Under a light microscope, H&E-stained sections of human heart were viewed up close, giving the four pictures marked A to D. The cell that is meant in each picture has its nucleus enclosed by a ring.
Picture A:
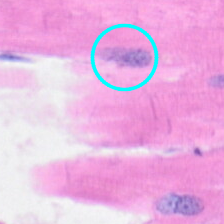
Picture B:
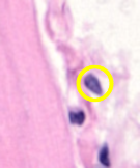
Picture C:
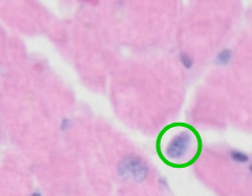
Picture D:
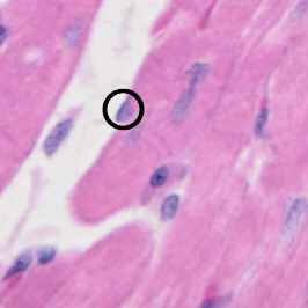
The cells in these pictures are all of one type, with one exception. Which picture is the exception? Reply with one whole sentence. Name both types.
Picture A is the odd one out: it shows a cardiomyocyte, while the others show fibroblasts.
